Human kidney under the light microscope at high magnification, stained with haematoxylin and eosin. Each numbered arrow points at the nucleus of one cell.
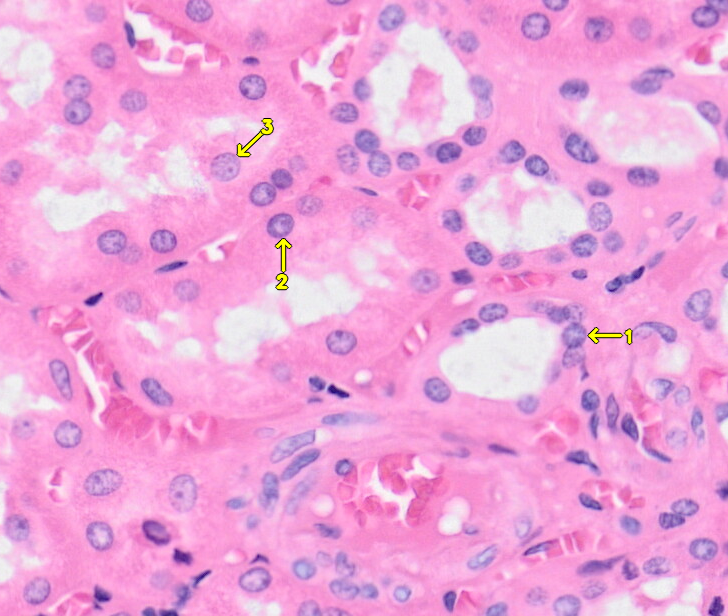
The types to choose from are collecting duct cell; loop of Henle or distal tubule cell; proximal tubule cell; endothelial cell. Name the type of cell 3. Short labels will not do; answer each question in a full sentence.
Of the numbered cells, the one labelled 3 is a proximal tubule cell.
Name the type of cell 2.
The cell carrying label 2 is identified as a proximal tubule cell.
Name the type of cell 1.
Belonging to a collecting duct cell is the nucleus that carries the number 1.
